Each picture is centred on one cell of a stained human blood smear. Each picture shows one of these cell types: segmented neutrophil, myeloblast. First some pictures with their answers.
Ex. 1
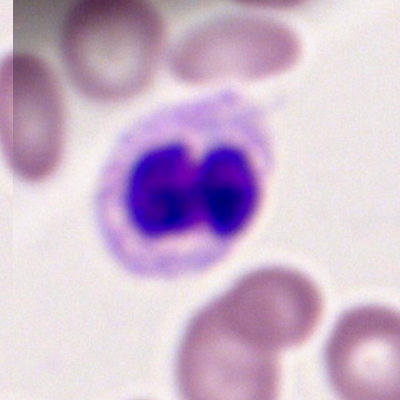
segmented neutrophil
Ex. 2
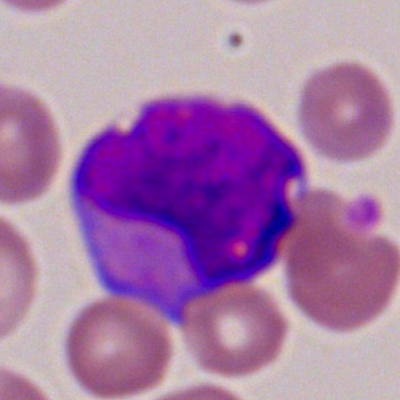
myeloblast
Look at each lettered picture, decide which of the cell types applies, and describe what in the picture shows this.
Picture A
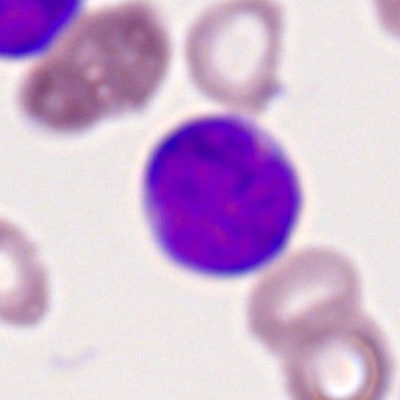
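Label: myeloblast. The nucleus fills almost the whole cell, leaving at most a very thin rim of cytoplasm.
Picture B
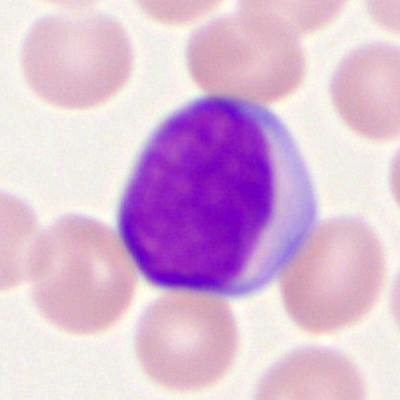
Label: myeloblast. The nucleus fills most of the cell and sits toward the left.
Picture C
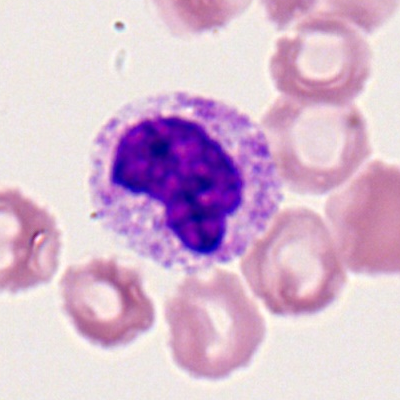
Label: segmented neutrophil. The cytoplasm is abundant and pale pinkish-lilac.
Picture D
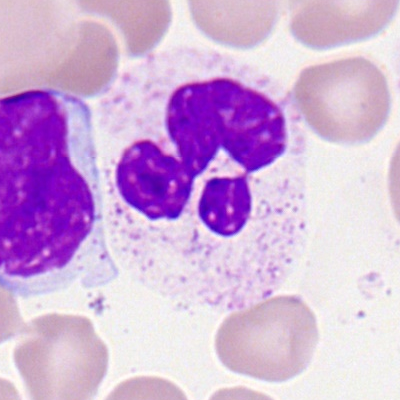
Label: segmented neutrophil. The cytoplasm is plentiful and very pale pink.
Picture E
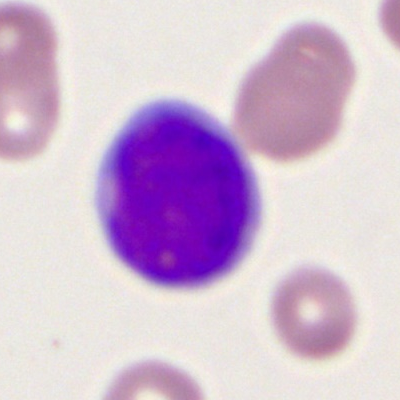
Label: myeloblast. The cytoplasm forms only a thin blue rim around the nucleus.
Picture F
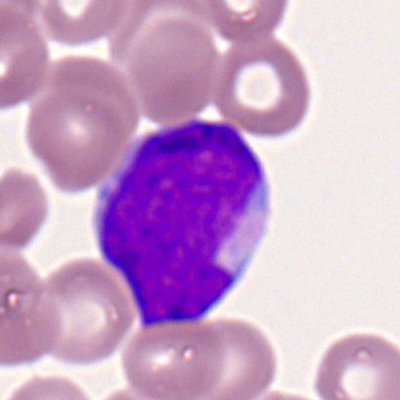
Label: myeloblast. The nucleus is a single unlobed mass.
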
